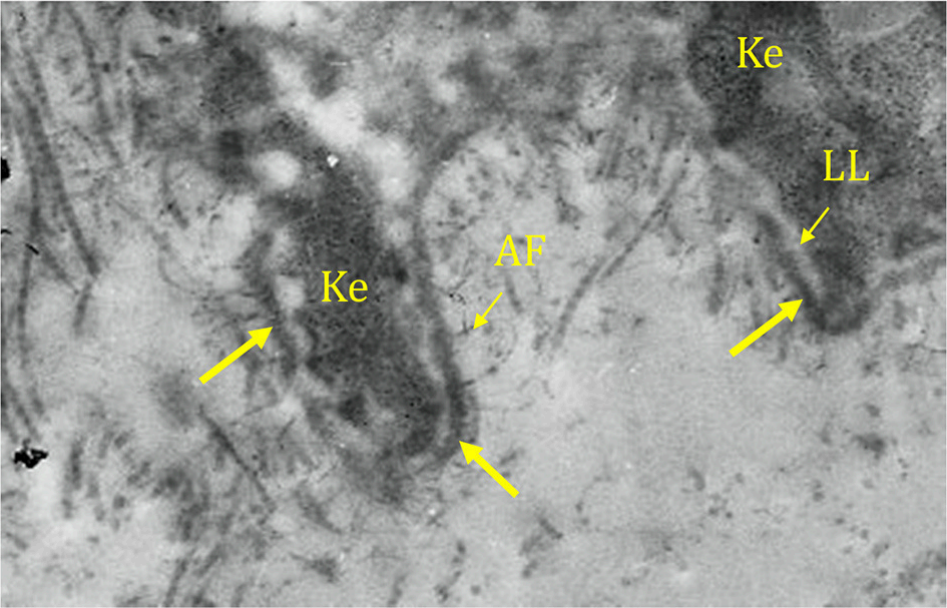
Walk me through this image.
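The electron micrograph shows the basal parts of keratinocytes resting on their basement membrane over a pale, finely fibrillar matrix. A thick, electron-dense band runs along the lower border of the cells. Thin anchoring fibrils reach down from the dense band into the underlying matrix.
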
